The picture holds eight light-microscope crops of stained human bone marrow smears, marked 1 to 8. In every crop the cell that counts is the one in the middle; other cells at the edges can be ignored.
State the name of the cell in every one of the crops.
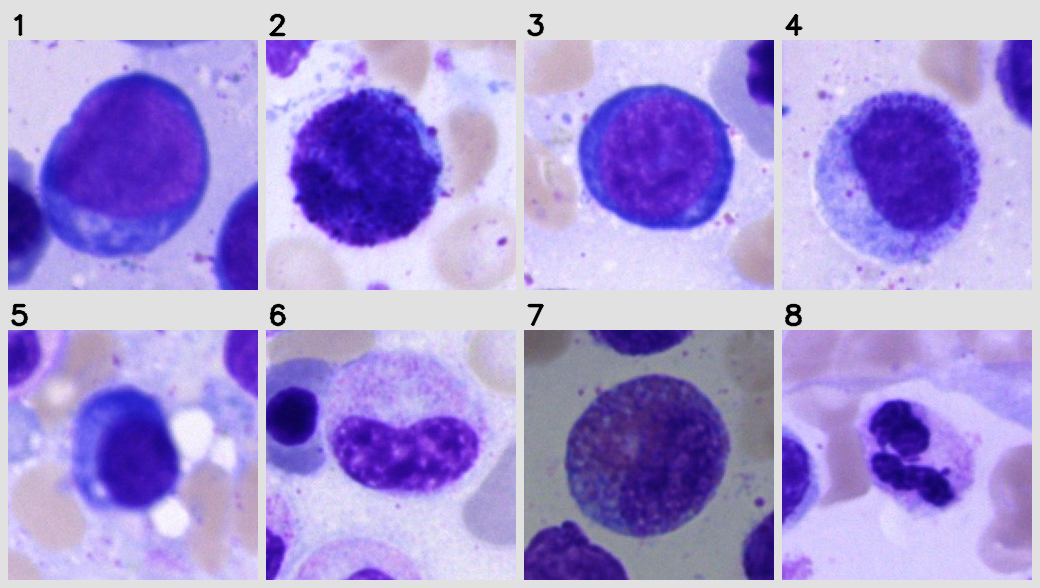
1: proerythroblast
2: basophil
3: proerythroblast
4: promyelocyte
5: plasma cell
6: metamyelocyte
7: eosinophil
8: segmented neutrophil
